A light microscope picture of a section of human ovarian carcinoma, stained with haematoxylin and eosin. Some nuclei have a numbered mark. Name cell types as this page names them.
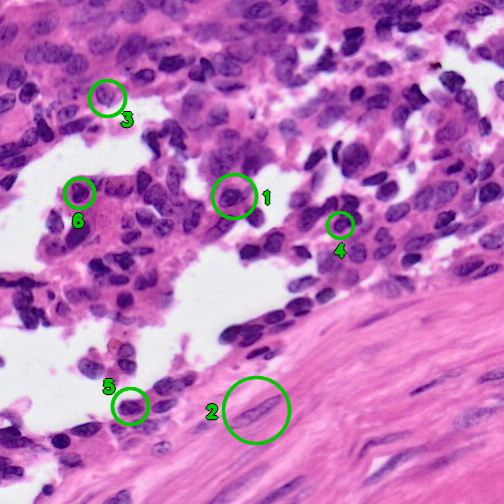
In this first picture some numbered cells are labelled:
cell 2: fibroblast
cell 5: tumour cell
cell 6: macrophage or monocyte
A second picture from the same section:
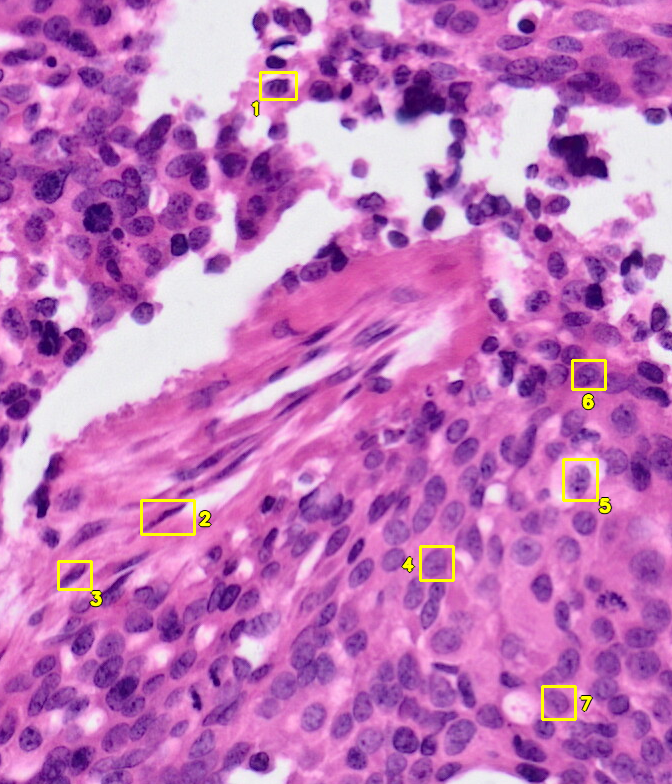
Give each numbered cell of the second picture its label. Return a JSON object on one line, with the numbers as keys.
{"1": "macrophage or monocyte", "2": "fibroblast", "3": "fibroblast", "4": "tumour cell", "5": "macrophage or monocyte", "6": "tumour cell", "7": "tumour cell"}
